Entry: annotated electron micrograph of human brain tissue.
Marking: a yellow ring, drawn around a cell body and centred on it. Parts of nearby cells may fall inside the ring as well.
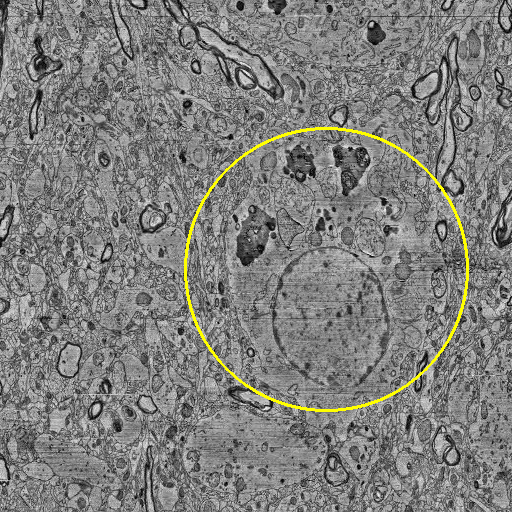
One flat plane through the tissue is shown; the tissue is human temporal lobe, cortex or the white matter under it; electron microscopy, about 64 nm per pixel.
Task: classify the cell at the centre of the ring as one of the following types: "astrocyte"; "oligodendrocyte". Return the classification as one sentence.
The marked cell is classified as an astrocyte.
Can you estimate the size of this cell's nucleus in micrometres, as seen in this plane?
In this plane the nucleus measures roughly 10 by 7 micrometers.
